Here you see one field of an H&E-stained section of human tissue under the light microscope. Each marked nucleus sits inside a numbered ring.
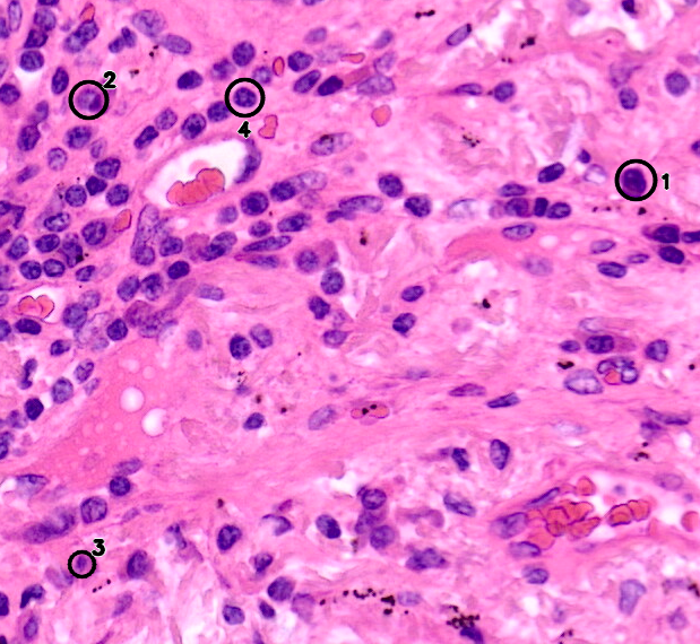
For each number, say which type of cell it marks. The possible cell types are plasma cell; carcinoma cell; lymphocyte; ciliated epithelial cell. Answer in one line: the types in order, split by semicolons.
plasma cell; plasma cell; plasma cell; lymphocyte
